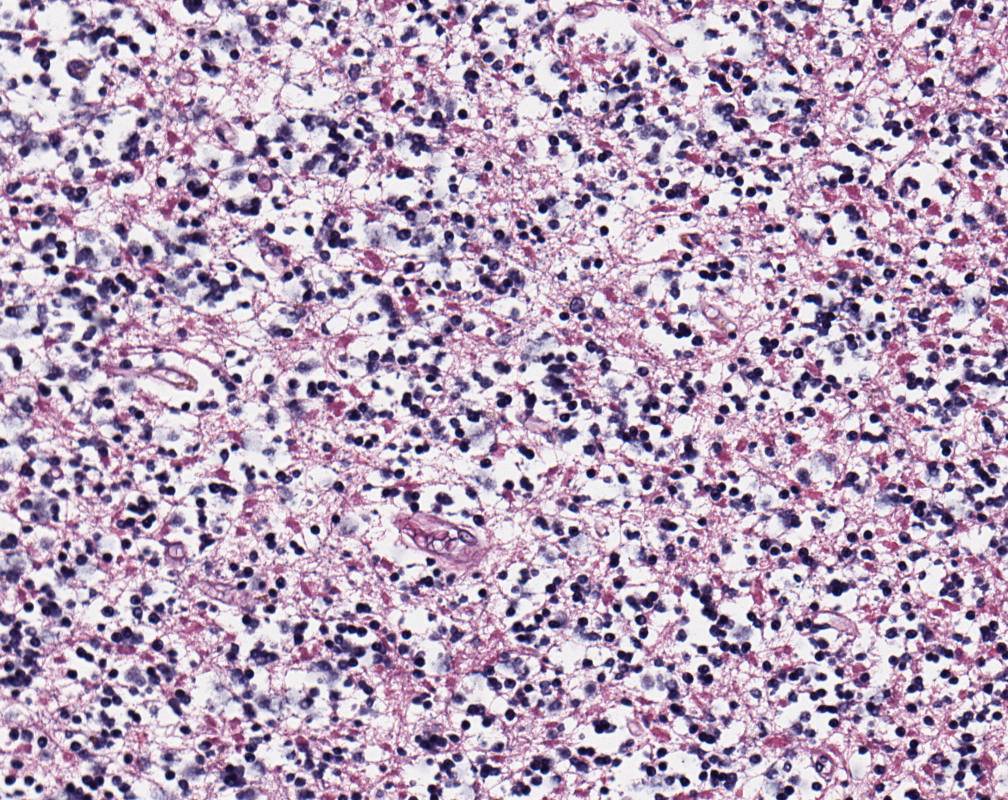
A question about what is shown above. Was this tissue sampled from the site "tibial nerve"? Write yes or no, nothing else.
no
